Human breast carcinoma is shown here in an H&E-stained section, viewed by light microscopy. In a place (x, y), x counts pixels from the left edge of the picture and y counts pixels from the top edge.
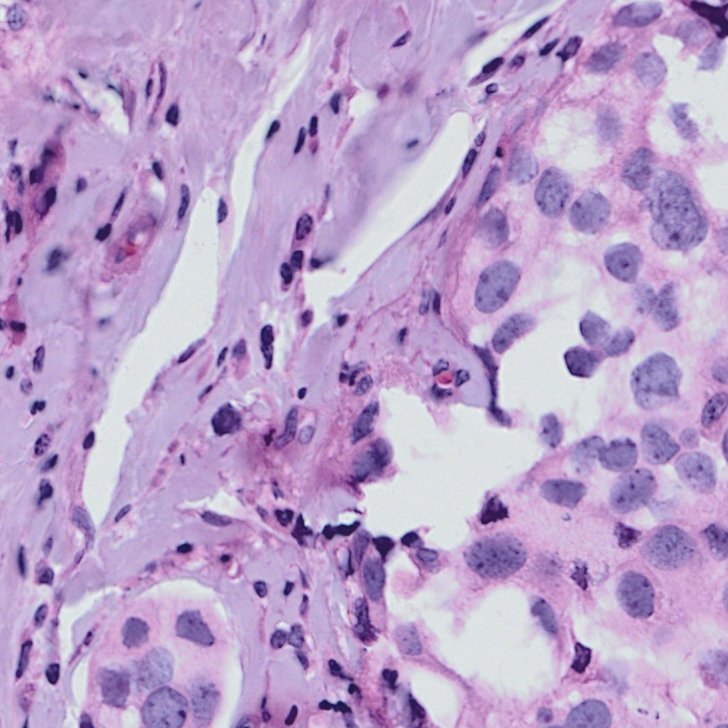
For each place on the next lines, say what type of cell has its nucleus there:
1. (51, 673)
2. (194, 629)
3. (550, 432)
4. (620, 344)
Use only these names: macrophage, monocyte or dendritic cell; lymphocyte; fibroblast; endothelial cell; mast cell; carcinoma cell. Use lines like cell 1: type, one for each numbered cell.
cell 1: lymphocyte
cell 2: carcinoma cell
cell 3: carcinoma cell
cell 4: carcinoma cell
